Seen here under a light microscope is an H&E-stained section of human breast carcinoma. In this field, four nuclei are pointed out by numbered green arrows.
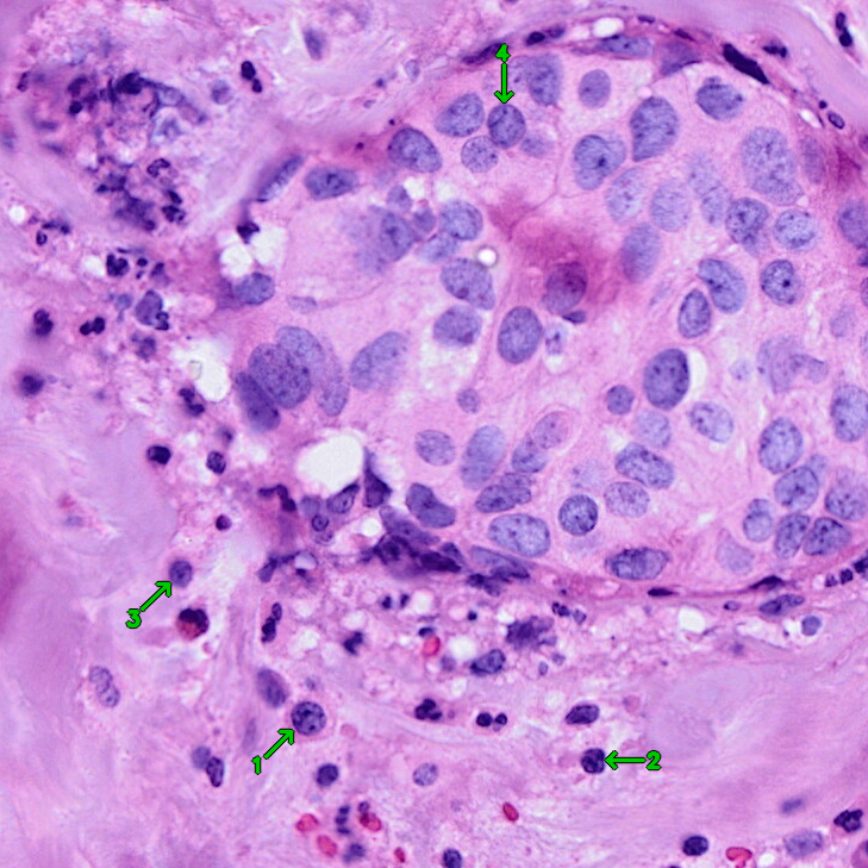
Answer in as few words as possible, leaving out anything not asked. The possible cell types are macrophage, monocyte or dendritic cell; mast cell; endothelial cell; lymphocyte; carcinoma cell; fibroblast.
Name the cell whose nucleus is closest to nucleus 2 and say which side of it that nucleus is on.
a macrophage, monocyte or dendritic cell; above nucleus 2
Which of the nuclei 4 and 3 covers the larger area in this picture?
4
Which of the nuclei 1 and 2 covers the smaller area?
2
